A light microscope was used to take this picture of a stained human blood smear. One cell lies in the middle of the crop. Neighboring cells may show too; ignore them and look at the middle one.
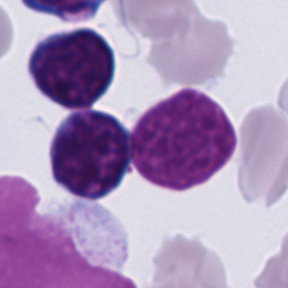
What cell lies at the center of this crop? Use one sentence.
The cell found in the middle of this crop is a blast.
